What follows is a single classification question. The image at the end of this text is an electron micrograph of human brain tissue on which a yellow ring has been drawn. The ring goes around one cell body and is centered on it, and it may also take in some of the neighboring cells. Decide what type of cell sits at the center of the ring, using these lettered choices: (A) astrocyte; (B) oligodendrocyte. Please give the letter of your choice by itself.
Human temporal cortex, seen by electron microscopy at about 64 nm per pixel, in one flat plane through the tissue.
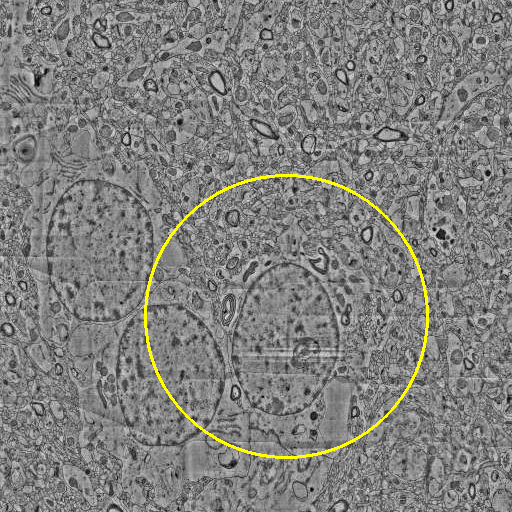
A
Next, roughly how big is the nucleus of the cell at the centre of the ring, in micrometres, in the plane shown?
The nucleus of the ringed cell is approximately 10 by 7 micrometres in this plane.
